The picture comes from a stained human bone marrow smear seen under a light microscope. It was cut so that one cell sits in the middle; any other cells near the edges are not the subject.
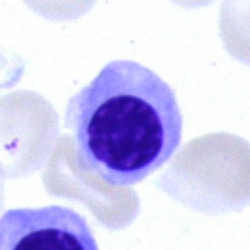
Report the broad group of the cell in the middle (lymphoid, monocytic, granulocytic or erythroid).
erythroid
